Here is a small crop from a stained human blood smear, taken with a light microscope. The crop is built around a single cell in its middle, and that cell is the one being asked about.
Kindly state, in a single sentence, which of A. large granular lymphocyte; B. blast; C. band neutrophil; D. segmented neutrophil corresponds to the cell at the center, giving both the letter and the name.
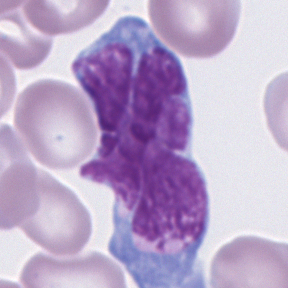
The cell in the centre of the crop is a blast, so option B is the correct one.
